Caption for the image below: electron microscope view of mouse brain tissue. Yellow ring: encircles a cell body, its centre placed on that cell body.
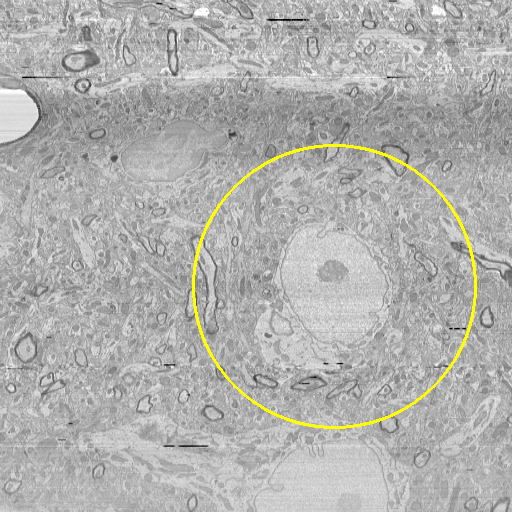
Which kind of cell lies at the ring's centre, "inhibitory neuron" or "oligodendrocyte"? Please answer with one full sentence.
The picture shows an inhibitory neuron at the centre of the yellow ring.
